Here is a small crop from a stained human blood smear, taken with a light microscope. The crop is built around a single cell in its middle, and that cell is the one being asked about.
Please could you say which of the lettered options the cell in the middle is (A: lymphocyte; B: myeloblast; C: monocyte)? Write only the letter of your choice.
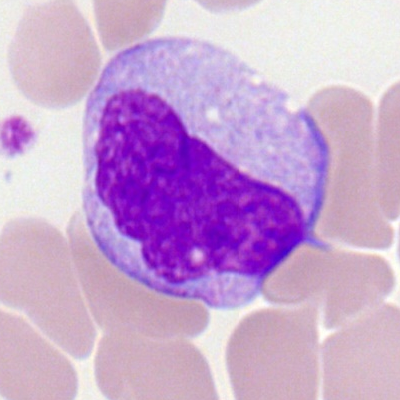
C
